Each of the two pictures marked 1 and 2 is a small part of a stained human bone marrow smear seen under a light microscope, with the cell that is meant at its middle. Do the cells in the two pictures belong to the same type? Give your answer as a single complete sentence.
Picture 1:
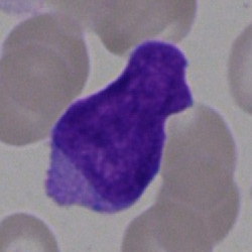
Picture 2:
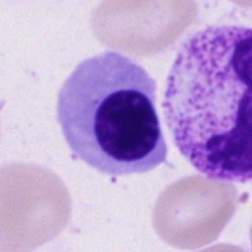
No. Picture 1 shows a blast, but picture 2 shows an erythroblast.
